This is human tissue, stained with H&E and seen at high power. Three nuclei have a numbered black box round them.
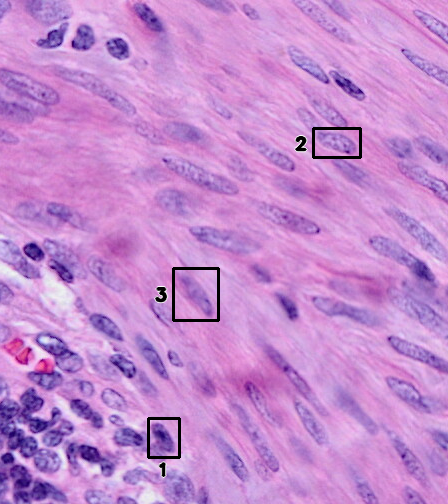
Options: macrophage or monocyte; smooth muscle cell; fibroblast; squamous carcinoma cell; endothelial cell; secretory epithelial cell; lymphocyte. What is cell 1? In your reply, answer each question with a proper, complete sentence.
In this section, the cell tagged 1 is a lymphocyte.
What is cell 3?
The cell identified by number 3 is a smooth muscle cell.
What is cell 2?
In this section, number 2 marks a smooth muscle cell.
